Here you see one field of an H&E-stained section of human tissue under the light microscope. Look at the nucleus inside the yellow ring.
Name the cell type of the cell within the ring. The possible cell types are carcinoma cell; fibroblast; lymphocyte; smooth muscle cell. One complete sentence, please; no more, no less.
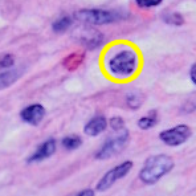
As a matter of cell type, the cell within the ring is a lymphocyte.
